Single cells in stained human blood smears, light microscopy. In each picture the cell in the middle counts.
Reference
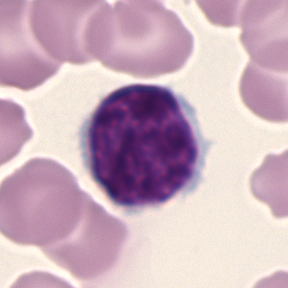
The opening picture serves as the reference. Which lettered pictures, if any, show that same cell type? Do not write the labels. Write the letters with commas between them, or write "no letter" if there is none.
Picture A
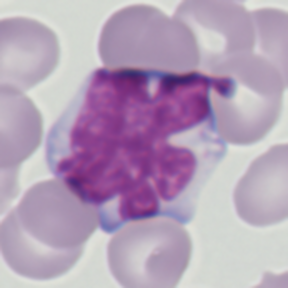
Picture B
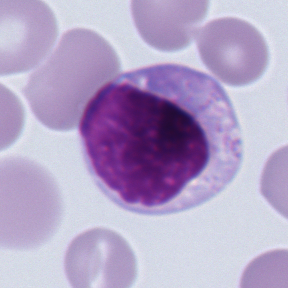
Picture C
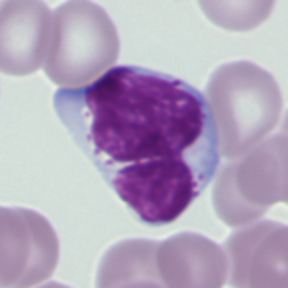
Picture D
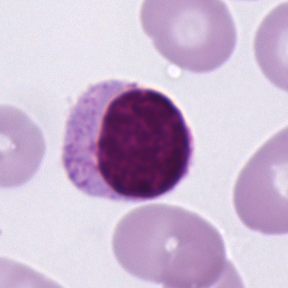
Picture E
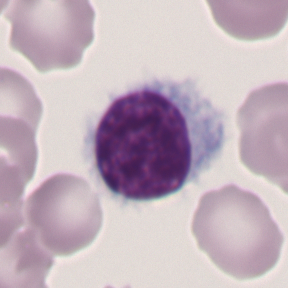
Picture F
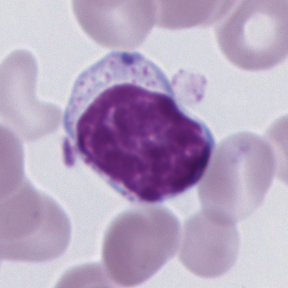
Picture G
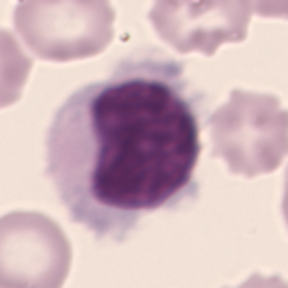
E, G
